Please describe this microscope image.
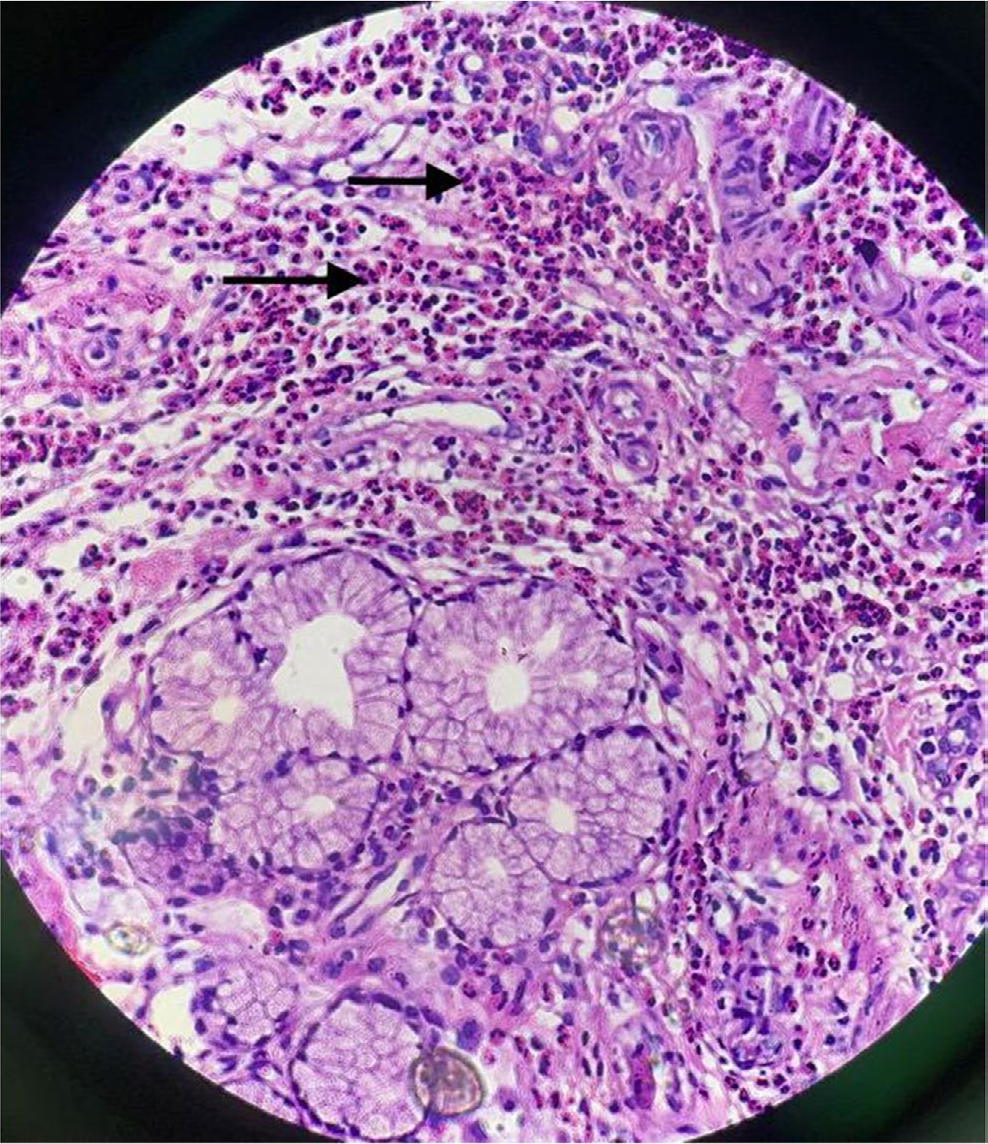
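Duodenal lamina propria is densely infiltrated by inflammatory cells. Many of these cells have bright red-pink cytoplasm, and they are mixed with smaller cells with dark round nuclei, all lying loosely in the connective tissue. In the lower part of the field, rounded glands are lined by tall columnar cells with pale, foamy cytoplasm and basal nuclei around small central lumens.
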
